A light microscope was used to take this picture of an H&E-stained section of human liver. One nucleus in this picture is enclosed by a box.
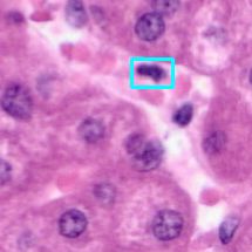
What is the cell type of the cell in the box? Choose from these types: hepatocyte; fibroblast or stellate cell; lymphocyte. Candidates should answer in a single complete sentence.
What the cell in the box represents is a lymphocyte.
